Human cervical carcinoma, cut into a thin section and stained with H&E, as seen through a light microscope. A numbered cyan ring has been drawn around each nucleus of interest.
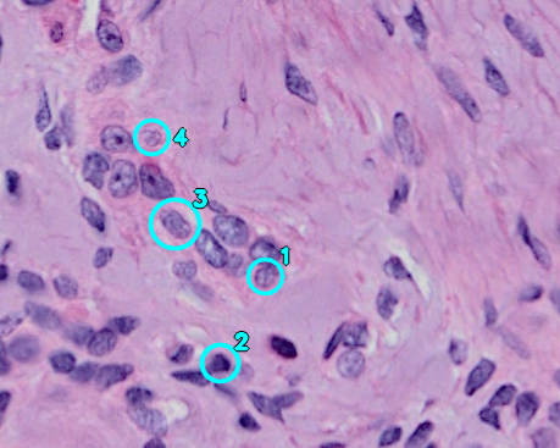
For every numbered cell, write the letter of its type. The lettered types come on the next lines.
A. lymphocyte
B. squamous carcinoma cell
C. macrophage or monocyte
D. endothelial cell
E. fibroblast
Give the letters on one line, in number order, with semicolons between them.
D; E; D; D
